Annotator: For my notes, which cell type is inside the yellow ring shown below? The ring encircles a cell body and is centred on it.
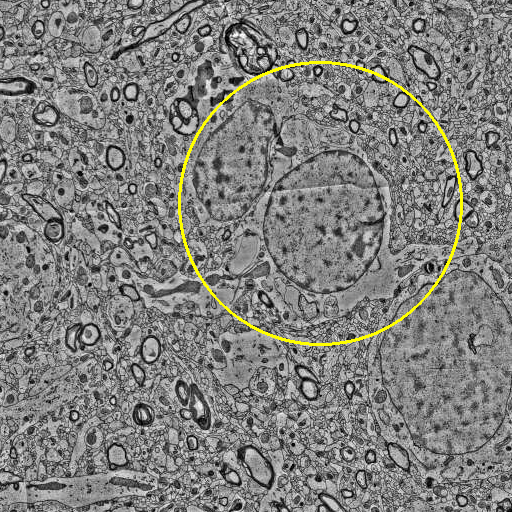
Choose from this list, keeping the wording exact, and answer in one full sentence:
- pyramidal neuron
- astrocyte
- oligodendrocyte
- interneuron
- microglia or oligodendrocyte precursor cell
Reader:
At the centre of the yellow ring there is an astrocyte, as shown in the picture.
